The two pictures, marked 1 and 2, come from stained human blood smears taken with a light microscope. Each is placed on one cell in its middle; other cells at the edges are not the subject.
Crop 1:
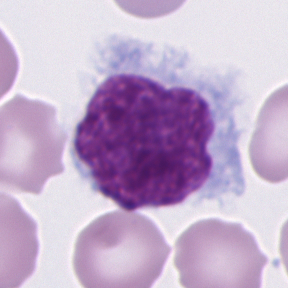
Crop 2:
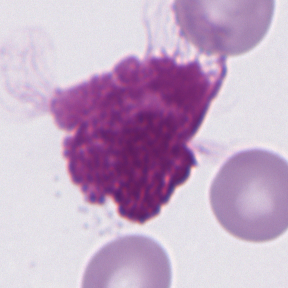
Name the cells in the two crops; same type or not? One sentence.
No, crop 1 gives us a hairy cell and crop 2 gives us a smudge cell.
